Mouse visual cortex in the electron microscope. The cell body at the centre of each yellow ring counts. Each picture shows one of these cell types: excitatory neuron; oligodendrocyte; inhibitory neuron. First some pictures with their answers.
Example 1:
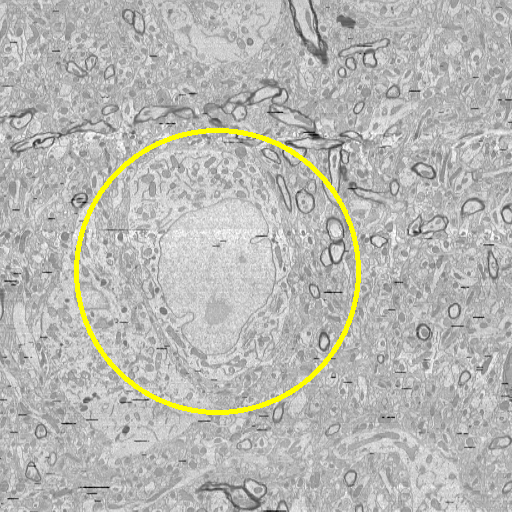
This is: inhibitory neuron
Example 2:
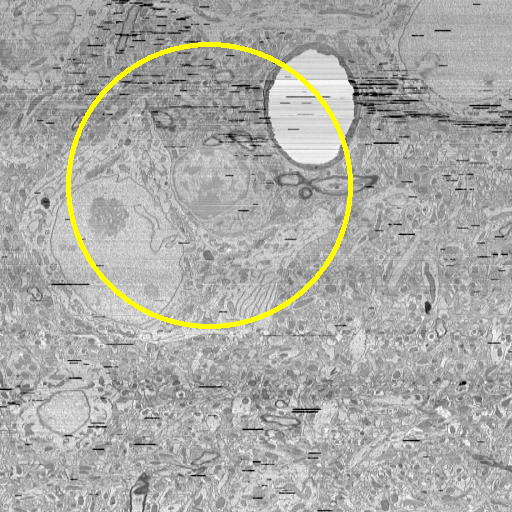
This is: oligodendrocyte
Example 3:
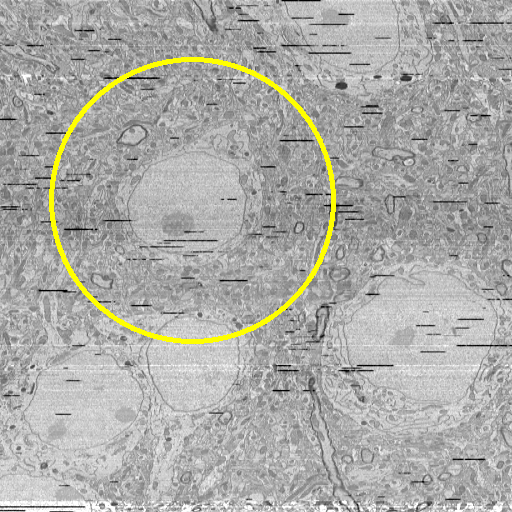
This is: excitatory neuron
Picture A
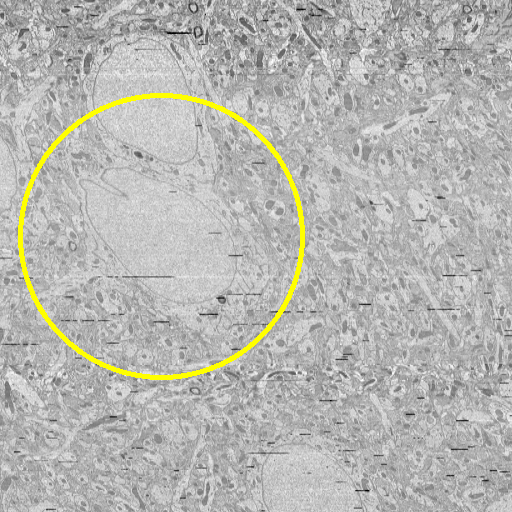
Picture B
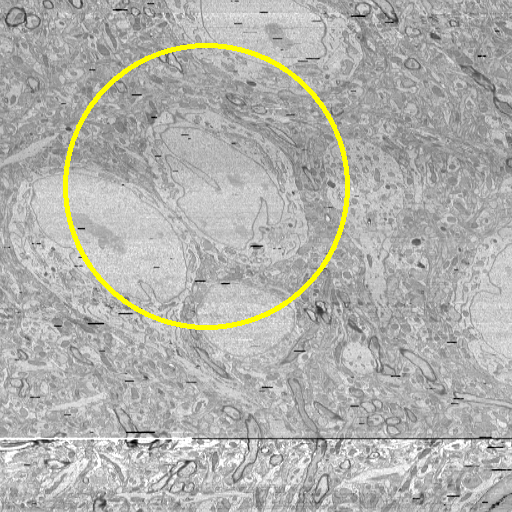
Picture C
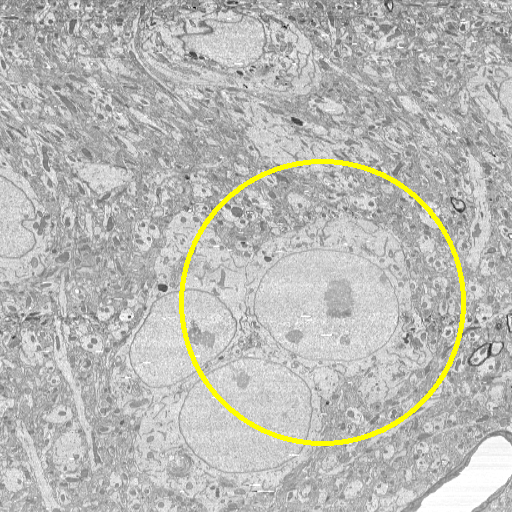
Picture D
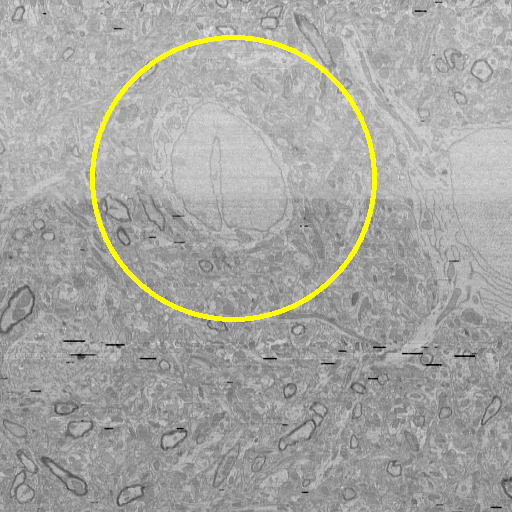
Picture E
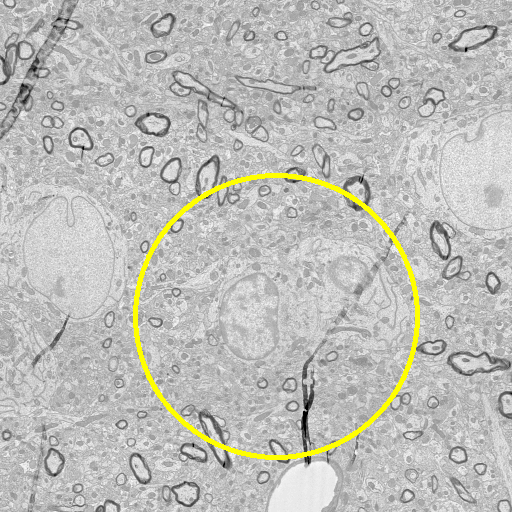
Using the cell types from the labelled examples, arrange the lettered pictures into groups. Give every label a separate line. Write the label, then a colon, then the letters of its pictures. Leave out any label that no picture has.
excitatory neuron: A, B, C, D
oligodendrocyte: E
